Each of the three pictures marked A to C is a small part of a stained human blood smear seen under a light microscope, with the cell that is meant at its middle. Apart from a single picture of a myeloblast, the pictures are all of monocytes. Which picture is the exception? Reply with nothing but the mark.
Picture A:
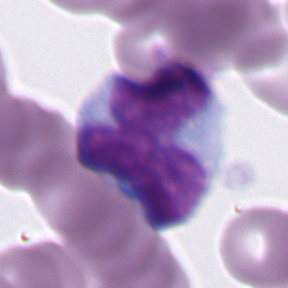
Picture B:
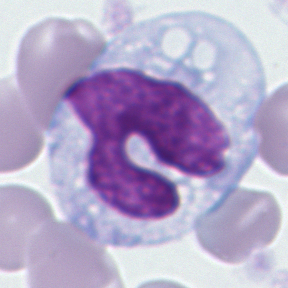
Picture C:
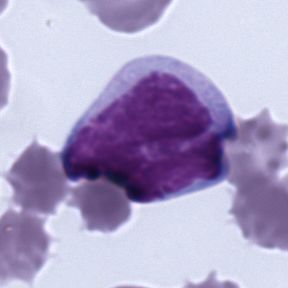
C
